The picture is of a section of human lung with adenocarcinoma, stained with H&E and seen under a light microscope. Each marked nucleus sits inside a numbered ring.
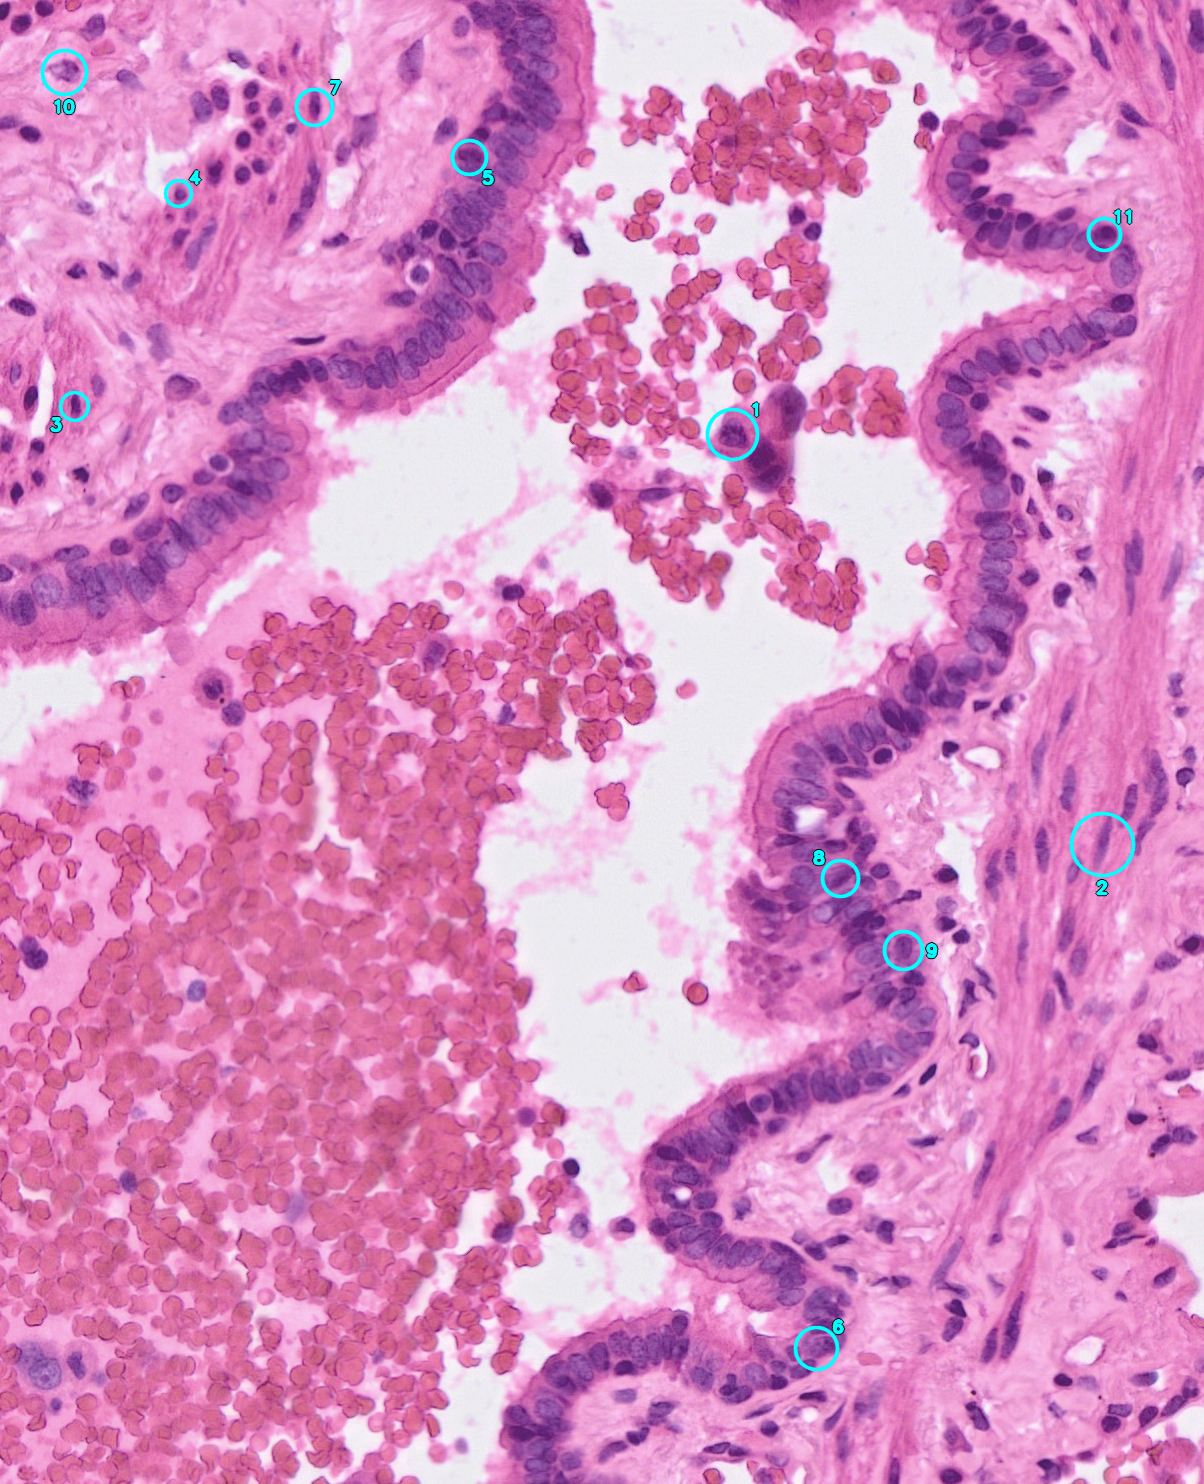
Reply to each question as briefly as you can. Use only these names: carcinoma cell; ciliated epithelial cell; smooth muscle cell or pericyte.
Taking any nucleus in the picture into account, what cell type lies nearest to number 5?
ciliated epithelial cell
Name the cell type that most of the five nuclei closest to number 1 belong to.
carcinoma cell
